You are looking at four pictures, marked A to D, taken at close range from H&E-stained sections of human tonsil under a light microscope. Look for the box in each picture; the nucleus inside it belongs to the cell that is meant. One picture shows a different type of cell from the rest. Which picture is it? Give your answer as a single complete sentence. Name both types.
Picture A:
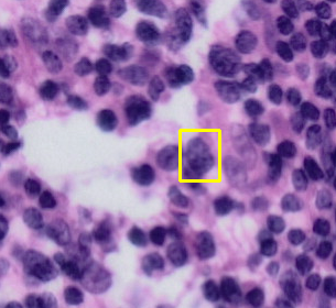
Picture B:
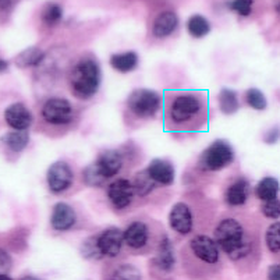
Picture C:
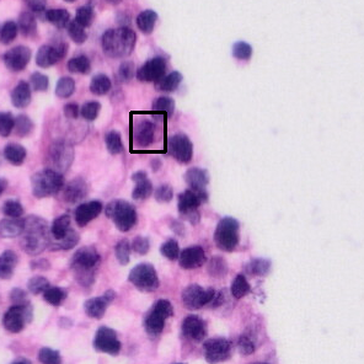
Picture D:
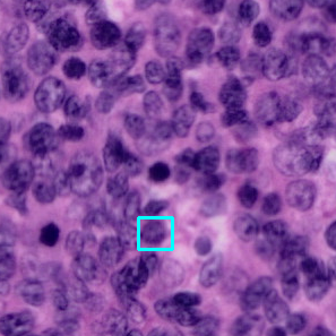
The others show proliferating B cells, but picture B shows a plasma cell.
